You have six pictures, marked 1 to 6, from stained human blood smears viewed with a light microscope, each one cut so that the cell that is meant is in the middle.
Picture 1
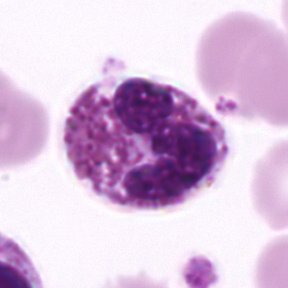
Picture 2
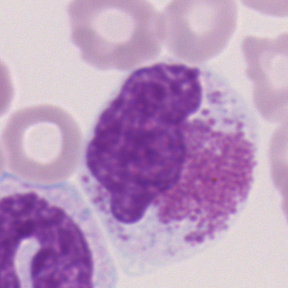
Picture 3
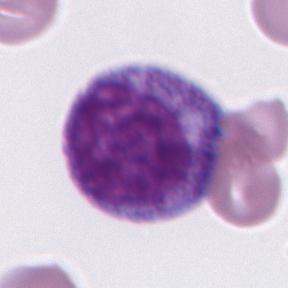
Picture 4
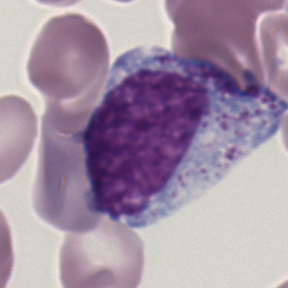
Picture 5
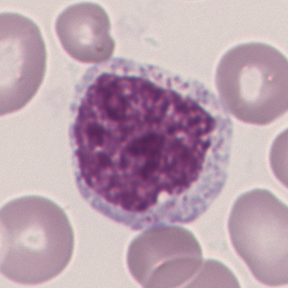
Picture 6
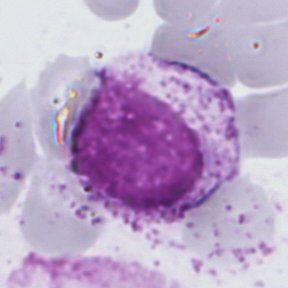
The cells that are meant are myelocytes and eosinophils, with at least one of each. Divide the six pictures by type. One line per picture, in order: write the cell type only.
eosinophil
eosinophil
myelocyte
myelocyte
myelocyte
myelocyte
